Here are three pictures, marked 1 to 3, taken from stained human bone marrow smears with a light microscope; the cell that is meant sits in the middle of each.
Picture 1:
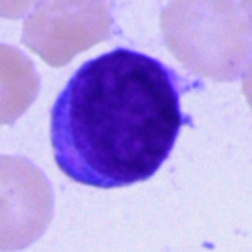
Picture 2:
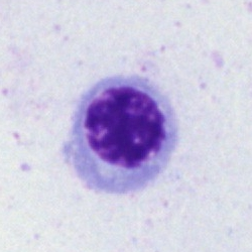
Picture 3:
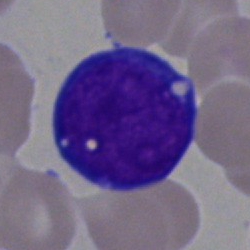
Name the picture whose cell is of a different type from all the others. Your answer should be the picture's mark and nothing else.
2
